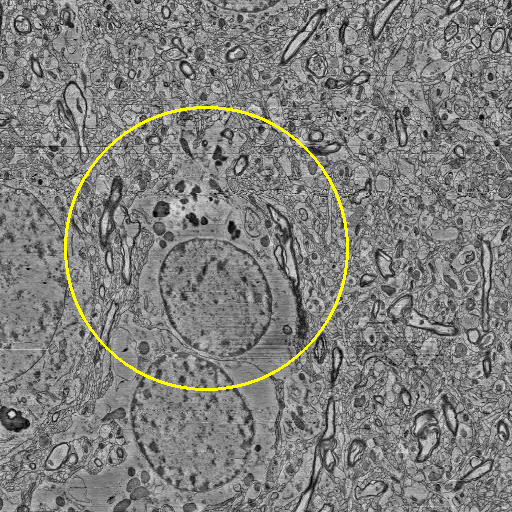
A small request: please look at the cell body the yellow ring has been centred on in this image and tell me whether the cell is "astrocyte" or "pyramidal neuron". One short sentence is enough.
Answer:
The cell marked by the ring is an astrocyte.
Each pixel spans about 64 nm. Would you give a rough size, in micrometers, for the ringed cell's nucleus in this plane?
The nucleus of the ringed cell is approximately 8 by 7 micrometres in this plane.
